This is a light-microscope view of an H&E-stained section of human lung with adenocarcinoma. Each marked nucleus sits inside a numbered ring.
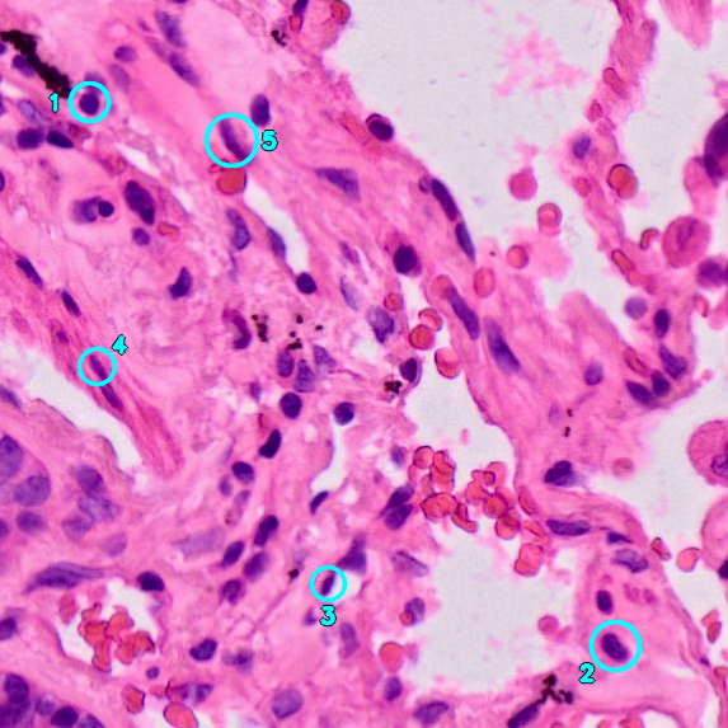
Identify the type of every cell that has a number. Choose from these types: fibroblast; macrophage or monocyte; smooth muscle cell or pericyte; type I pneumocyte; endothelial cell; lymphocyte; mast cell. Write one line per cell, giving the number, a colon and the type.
1: lymphocyte
2: mast cell
3: endothelial cell
4: smooth muscle cell or pericyte
5: endothelial cell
